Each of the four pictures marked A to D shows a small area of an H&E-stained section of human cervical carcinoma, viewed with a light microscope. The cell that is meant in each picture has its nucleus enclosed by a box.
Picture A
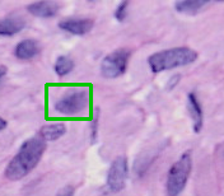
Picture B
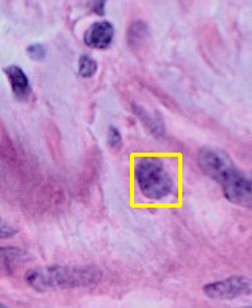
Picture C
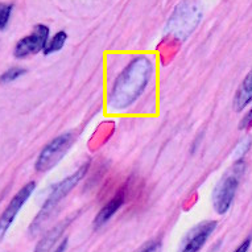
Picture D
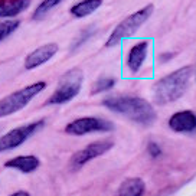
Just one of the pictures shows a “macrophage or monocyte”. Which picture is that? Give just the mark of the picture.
B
